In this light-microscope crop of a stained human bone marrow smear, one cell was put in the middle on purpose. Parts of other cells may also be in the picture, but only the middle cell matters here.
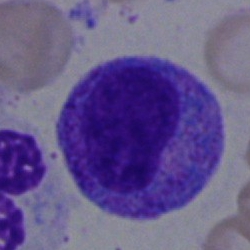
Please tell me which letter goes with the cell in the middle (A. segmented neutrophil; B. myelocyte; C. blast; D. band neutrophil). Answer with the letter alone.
B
